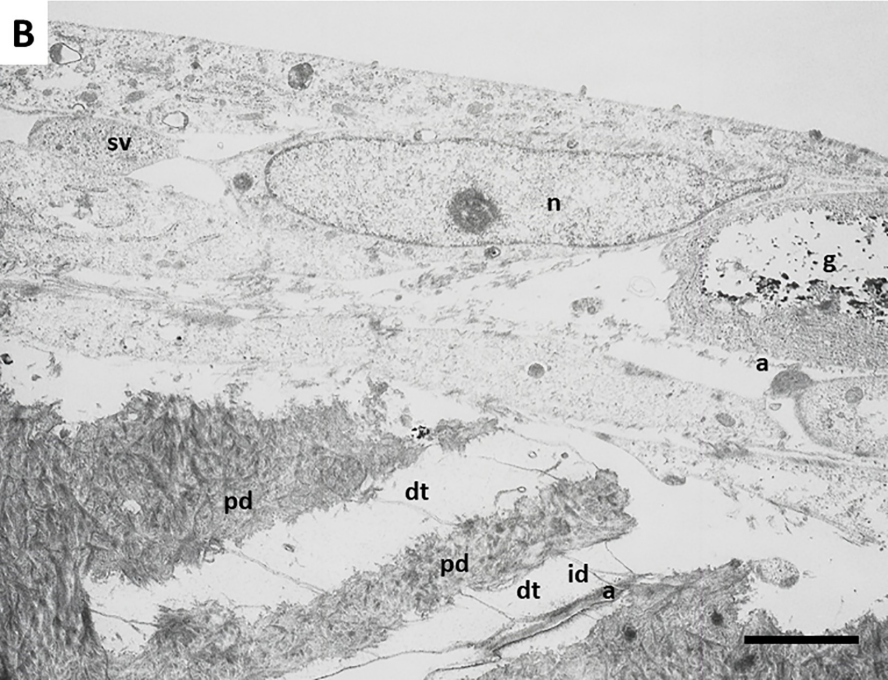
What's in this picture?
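The central cell has a large, elongated oval nucleus with finely dispersed chromatin and one prominent dense nucleolus. Bundles of thin filaments run lengthwise through the cytoplasm of the lower cells. Below, dense fibrillar dentin matrix is split by pale tubule channels, with the denser matrix lining the tubules.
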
